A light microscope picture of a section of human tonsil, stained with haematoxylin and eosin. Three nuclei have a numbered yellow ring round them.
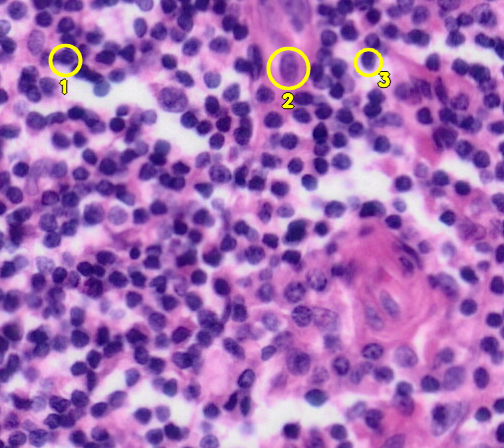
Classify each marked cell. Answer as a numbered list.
1. small lymphocyte
2. endothelial cell
3. small lymphocyte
